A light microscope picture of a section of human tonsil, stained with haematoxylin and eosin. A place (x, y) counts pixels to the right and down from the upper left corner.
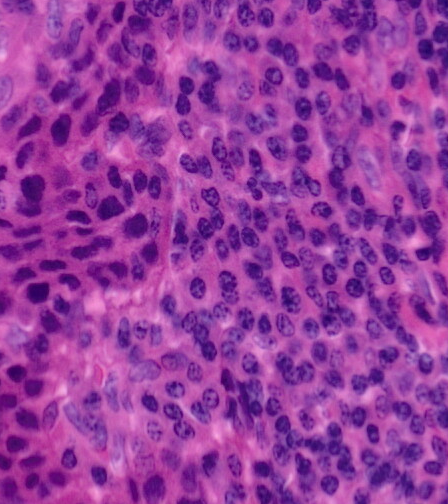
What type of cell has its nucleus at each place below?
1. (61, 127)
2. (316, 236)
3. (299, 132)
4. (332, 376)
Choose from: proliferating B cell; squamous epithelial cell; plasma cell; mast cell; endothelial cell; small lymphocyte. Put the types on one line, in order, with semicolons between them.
squamous epithelial cell; plasma cell; plasma cell; plasma cell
